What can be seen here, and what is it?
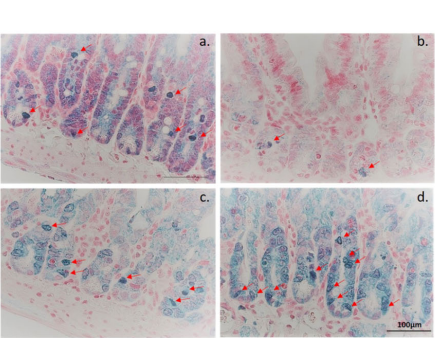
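These are small intestinal crypts, shown in four fields. The tubular glands lie side by side above a thin band of pink connective tissue and muscle. Each crypt is lined by a single layer of columnar epithelial cells with bluish cytoplasm around a narrow lumen. Scattered nuclei in the crypt epithelium are stained dark blue-black, and red arrowheads point to them. Some fields hold many such dark nuclei within well-formed crypts. In another field the crypts are sparse and poorly formed, with few marked nuclei among pale pink tissue. Pale, vacuolated cells also appear within the crypt linings.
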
